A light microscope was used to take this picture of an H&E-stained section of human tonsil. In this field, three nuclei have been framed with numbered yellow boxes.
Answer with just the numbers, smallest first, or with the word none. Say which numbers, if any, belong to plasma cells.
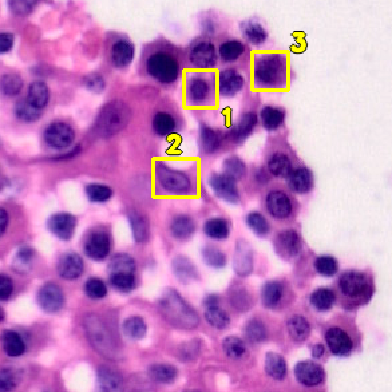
1, 3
